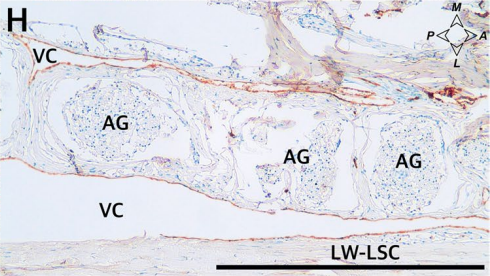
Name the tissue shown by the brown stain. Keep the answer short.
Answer: Vascular endothelium.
